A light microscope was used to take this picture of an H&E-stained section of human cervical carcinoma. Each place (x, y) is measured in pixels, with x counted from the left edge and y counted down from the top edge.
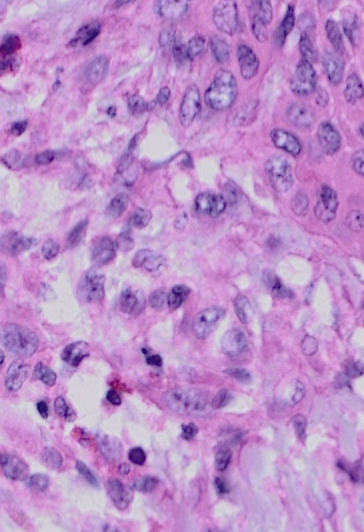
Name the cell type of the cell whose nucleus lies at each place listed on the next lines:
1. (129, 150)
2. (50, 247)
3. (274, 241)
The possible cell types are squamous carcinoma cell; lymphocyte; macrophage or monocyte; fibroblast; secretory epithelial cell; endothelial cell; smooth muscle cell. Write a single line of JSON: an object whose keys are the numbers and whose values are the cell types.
{"1": "fibroblast", "2": "macrophage or monocyte", "3": "fibroblast"}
